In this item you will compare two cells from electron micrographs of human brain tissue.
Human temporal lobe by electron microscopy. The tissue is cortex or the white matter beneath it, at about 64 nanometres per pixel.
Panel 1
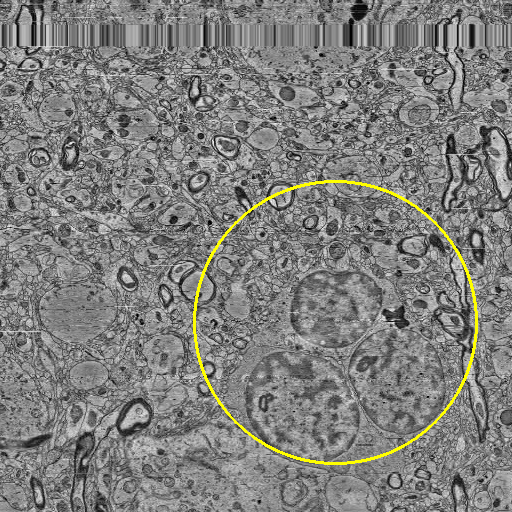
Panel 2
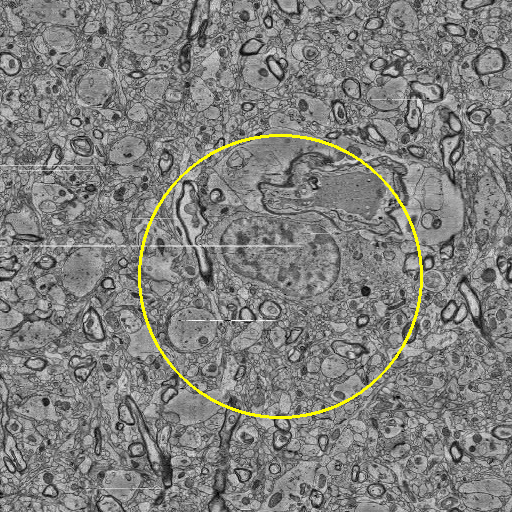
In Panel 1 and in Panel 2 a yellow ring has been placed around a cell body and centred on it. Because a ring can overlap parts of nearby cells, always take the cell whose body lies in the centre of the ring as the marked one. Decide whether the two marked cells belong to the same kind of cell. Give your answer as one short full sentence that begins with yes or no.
Yes, the two marked cells belong to the same kind of cell.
